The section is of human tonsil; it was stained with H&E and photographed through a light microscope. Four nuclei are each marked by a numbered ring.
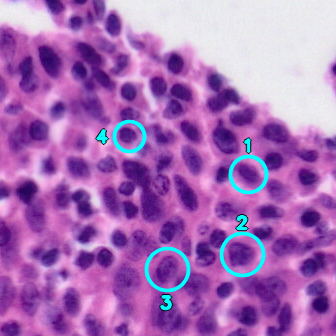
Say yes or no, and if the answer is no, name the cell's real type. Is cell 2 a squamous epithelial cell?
Yes.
